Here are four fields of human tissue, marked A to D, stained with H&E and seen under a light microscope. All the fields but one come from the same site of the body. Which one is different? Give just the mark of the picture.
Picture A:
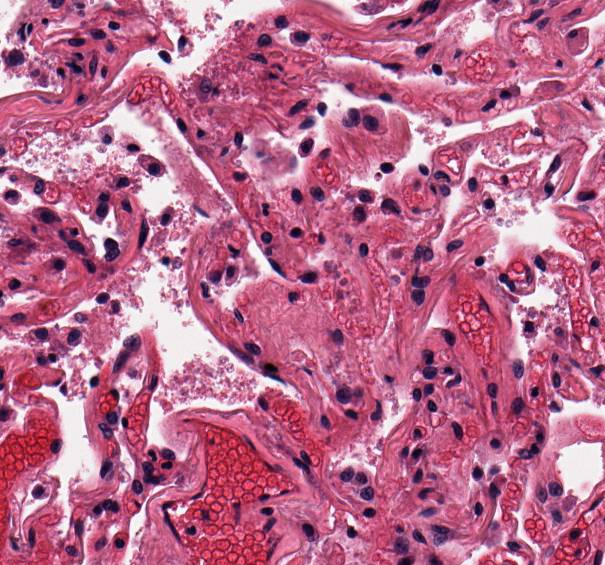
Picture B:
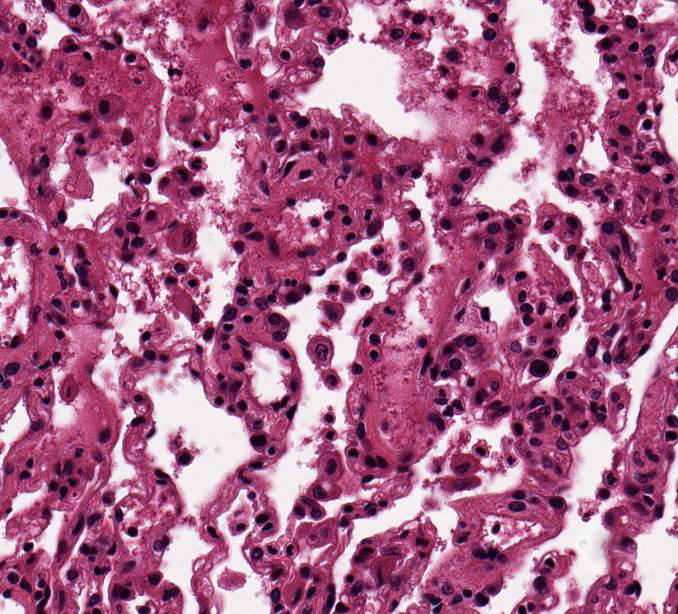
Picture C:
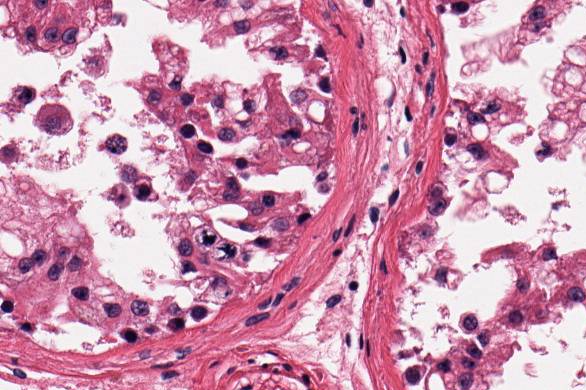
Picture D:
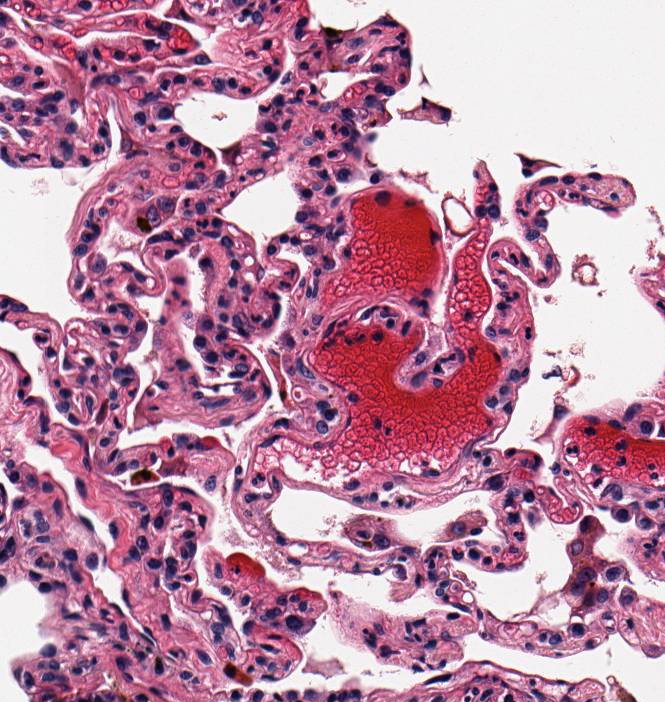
C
